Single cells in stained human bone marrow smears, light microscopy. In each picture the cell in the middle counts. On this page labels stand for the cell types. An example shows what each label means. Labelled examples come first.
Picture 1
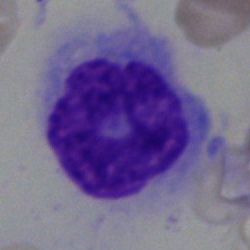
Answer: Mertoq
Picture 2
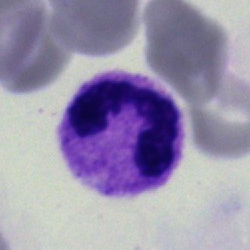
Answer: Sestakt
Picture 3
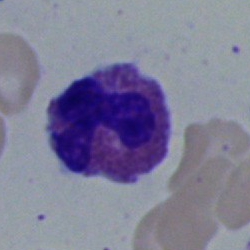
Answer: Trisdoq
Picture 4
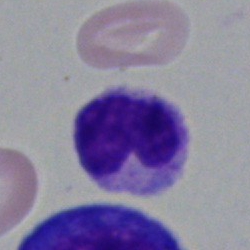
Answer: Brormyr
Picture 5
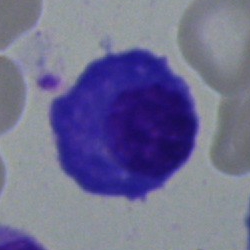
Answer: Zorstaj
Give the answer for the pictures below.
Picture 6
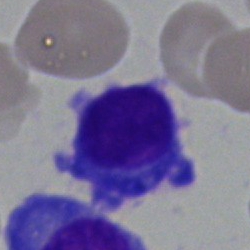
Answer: Zorstaj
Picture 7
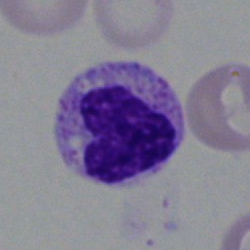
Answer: Brormyr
